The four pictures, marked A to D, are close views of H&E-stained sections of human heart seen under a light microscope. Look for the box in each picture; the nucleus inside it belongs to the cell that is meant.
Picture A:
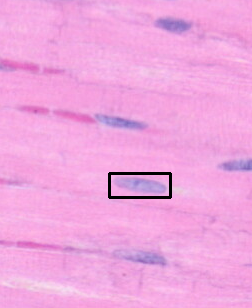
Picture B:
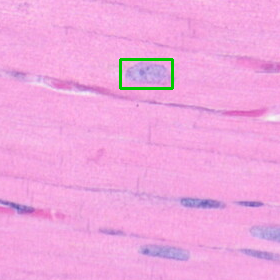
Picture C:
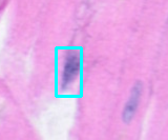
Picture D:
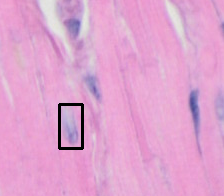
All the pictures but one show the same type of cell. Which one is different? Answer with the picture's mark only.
C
